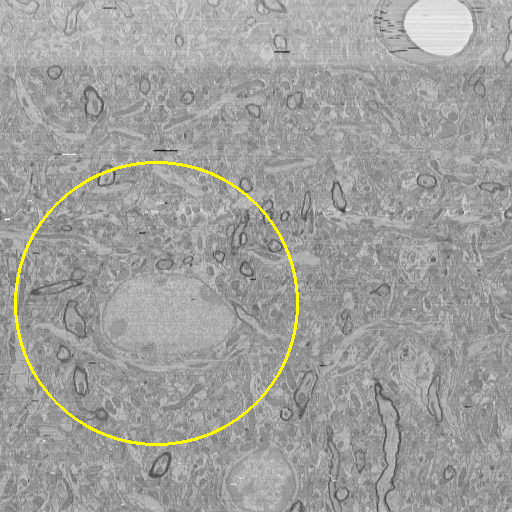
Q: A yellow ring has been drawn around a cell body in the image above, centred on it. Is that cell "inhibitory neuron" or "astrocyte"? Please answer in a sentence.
The ring surrounds the cell body of an astrocyte.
